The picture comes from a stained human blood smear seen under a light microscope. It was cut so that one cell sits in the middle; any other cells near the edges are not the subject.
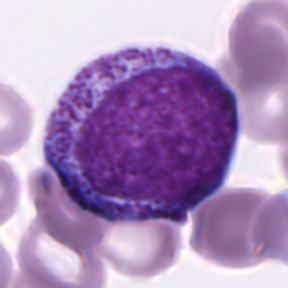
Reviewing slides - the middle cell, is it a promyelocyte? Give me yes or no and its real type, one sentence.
Yes, the identity of the central cell is that of a promyelocyte.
